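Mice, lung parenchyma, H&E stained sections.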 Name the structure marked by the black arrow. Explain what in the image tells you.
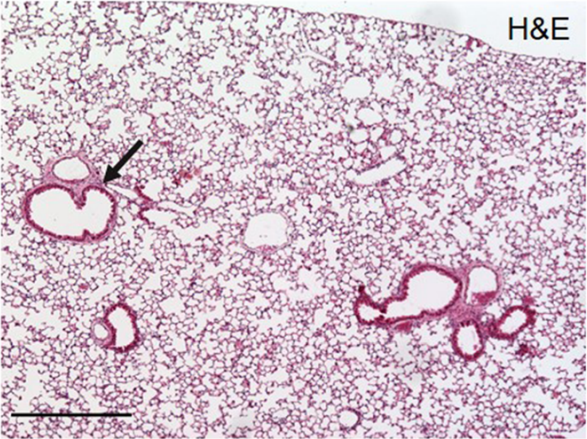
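The arrow points to a large airway with a dark-staining epithelial lining. A rounded vessel-like lumen lies directly beside the airway, both wrapped in pink connective tissue. The pair is surrounded by thin-walled alveolar tissue.
Conclusion: Bronchovascular bundles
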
